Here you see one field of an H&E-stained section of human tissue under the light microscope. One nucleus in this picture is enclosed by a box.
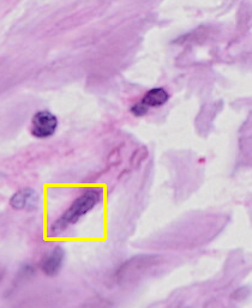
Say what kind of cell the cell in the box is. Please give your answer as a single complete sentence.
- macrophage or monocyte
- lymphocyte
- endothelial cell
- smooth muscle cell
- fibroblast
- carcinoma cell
It is an endothelial cell that the cell in the box represents.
